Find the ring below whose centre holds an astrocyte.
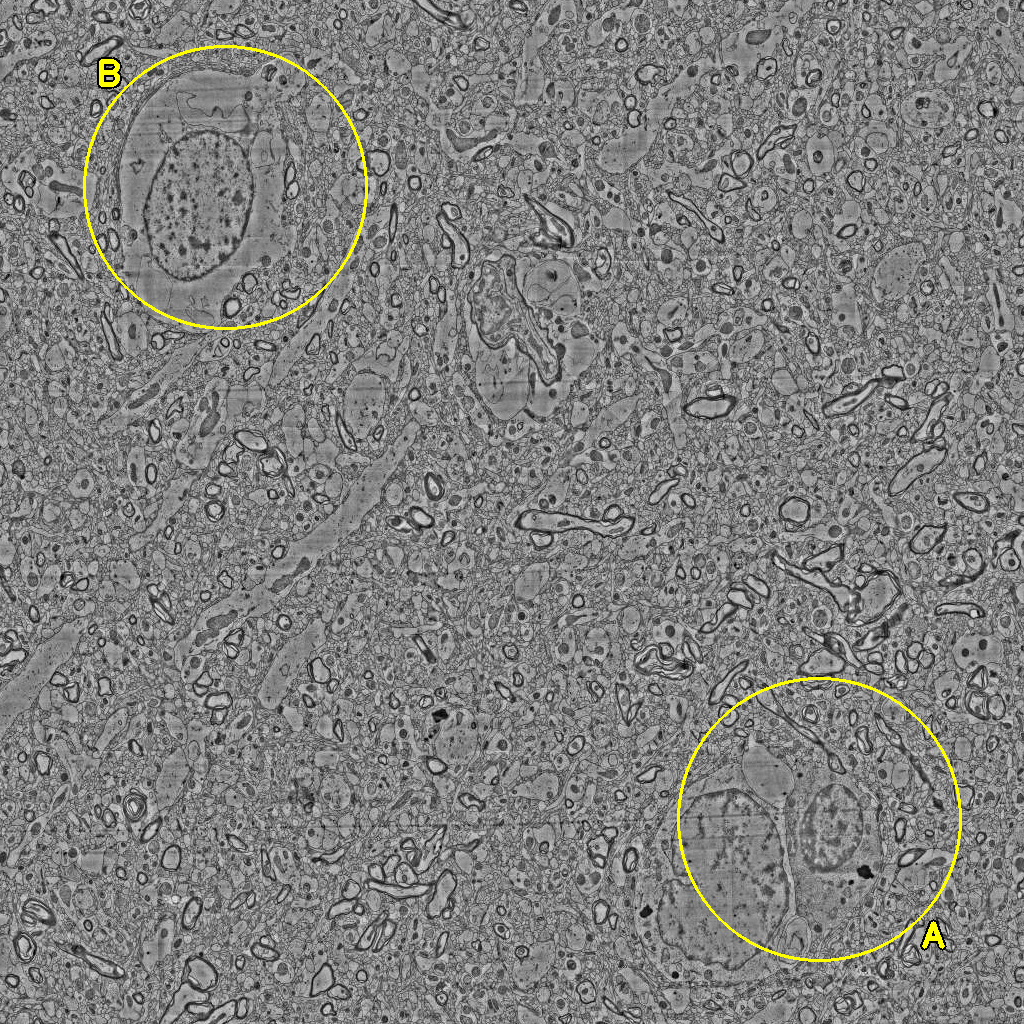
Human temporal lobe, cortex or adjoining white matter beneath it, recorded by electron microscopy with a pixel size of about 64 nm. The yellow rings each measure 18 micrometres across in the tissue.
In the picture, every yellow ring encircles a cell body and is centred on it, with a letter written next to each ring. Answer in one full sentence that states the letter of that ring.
The ring centred on the cell asked for in the picture carries the letter B.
